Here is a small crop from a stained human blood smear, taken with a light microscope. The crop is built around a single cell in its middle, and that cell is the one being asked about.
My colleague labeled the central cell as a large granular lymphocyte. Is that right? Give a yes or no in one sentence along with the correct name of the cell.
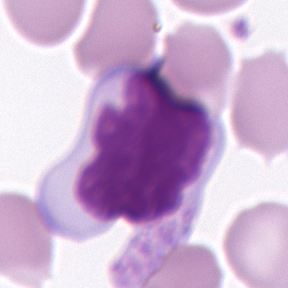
Yes, the cell in the middle is a large granular lymphocyte.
